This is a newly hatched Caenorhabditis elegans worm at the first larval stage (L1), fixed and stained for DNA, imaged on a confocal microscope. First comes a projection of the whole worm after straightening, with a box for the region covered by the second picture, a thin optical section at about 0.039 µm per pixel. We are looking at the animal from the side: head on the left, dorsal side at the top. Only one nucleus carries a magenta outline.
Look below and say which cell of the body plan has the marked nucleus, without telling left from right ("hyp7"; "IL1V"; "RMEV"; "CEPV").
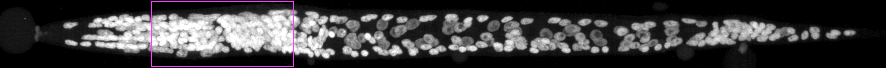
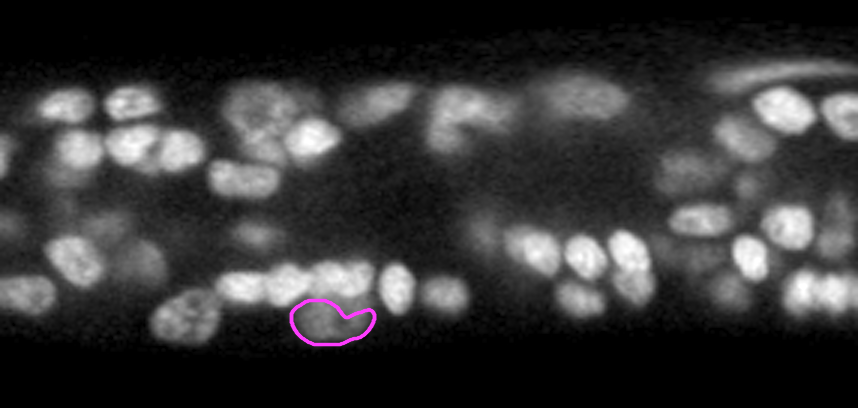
hyp7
